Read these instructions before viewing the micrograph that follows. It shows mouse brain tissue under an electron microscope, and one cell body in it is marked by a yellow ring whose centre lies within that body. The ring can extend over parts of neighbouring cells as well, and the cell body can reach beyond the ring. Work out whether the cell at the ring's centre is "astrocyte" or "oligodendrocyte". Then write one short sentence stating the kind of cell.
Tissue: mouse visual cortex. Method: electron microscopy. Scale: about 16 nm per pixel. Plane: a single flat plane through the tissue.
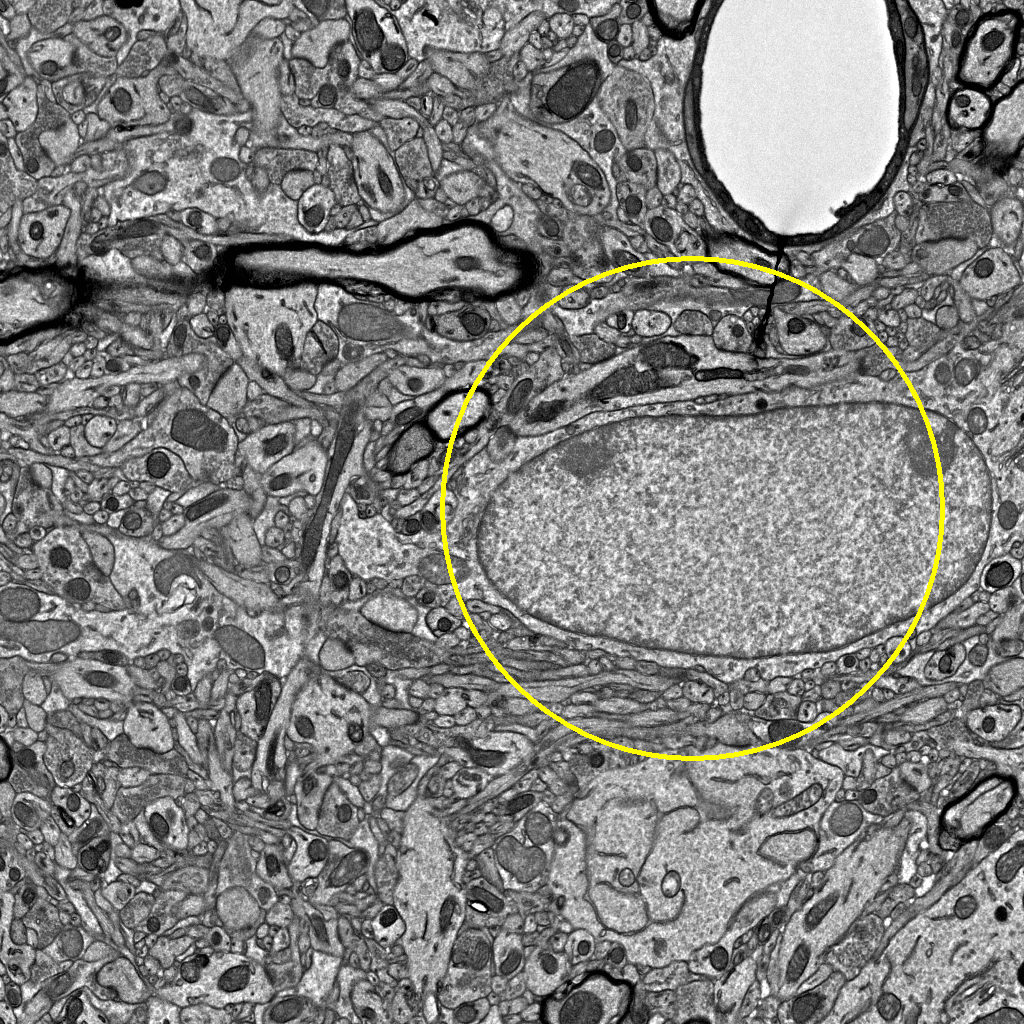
The cell at the ring's centre is an astrocyte.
